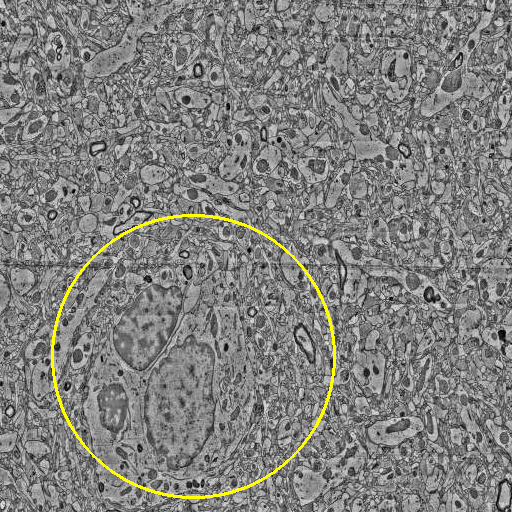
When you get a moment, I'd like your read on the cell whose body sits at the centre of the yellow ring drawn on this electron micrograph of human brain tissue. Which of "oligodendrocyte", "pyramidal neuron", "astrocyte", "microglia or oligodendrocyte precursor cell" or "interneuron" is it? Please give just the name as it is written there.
interneuron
